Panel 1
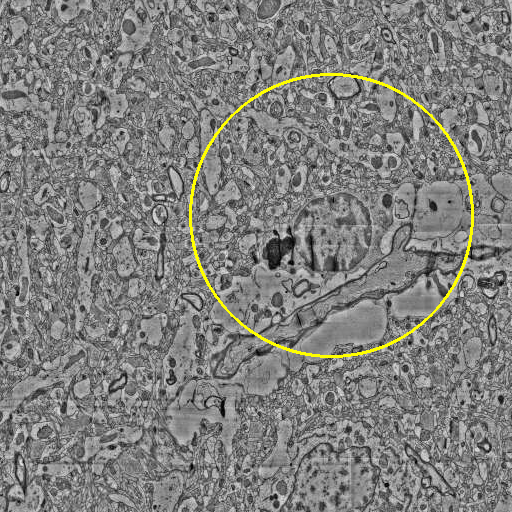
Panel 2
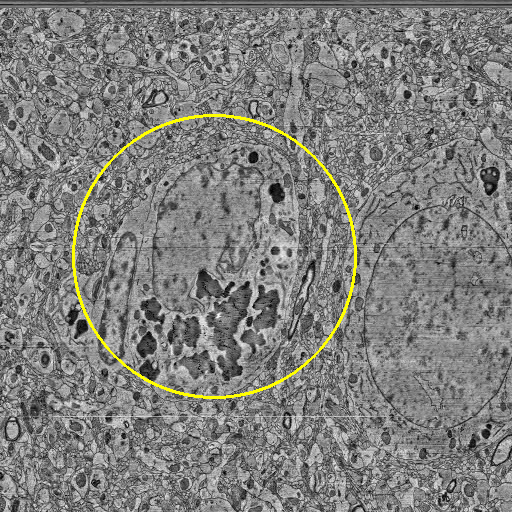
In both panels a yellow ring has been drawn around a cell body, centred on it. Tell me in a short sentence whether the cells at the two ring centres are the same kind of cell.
No, they are two kinds of cell.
